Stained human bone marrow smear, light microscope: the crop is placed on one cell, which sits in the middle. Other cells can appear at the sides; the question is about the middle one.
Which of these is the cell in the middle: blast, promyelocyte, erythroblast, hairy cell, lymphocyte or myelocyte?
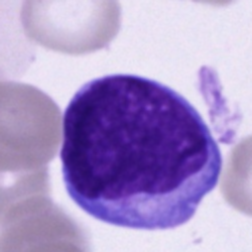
blast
